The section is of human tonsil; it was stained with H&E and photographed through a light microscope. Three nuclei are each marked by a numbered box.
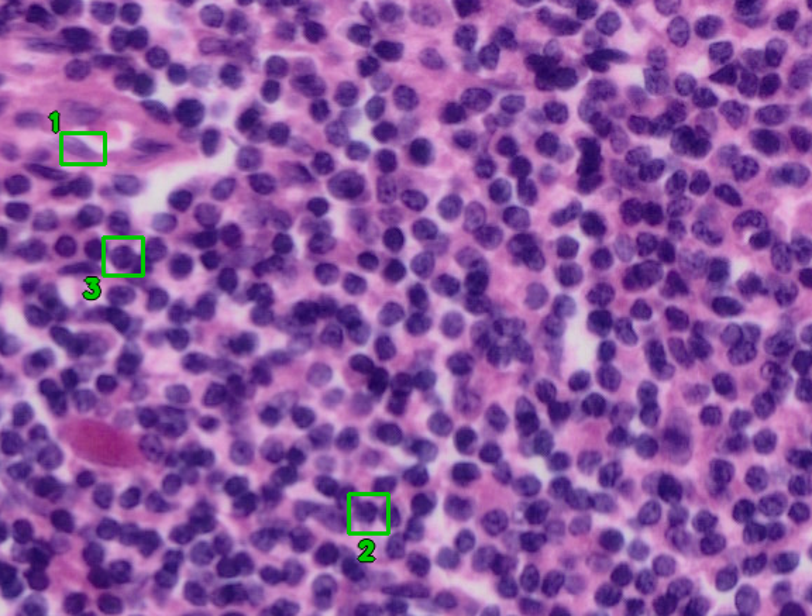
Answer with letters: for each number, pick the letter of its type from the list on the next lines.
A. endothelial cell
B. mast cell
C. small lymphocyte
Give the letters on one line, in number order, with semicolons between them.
A; C; C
